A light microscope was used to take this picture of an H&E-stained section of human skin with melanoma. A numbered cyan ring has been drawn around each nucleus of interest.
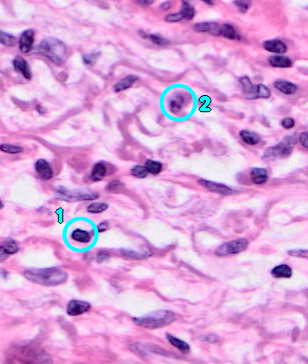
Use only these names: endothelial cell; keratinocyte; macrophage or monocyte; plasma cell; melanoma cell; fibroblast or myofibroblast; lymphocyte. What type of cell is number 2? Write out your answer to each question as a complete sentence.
The correct answer for cell 2 is a plasma cell.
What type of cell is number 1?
Cell 1, among those numbered, is a lymphocyte.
